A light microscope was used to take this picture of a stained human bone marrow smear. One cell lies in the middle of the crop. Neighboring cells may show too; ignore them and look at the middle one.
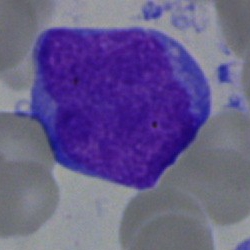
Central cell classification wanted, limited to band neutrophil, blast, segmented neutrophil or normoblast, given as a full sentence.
The cell sitting right in the middle is a blast.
